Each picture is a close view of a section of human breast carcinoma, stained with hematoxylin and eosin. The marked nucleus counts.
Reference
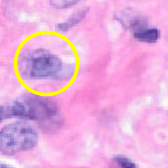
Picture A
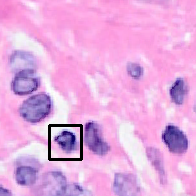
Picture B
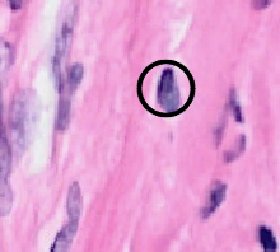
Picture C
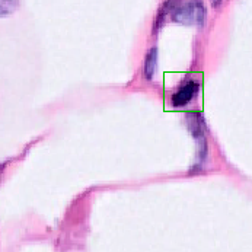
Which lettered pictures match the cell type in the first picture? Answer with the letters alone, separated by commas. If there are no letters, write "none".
C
